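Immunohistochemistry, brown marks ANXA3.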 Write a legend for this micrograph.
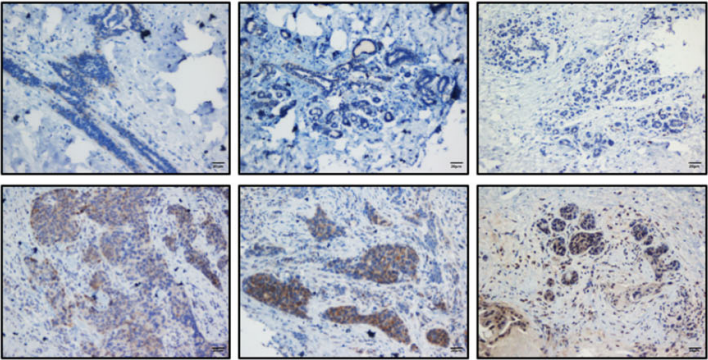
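In the upper row, small ducts and lobules with blue-stained nuclei lie scattered in loose fibrous and fatty stroma, and there is almost no brown. In the lower row, crowded epithelial cells form solid nests and irregular islands within the stroma. Their cytoplasm takes up a brown stain that varies in strength from one nest to another.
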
